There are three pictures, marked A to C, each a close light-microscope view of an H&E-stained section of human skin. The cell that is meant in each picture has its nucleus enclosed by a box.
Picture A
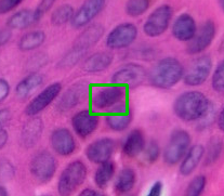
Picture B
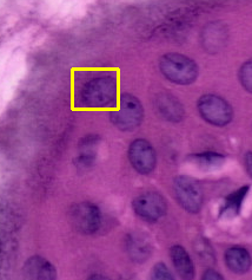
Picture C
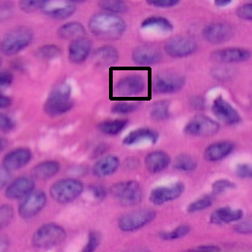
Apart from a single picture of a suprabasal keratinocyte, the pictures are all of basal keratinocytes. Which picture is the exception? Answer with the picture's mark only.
B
